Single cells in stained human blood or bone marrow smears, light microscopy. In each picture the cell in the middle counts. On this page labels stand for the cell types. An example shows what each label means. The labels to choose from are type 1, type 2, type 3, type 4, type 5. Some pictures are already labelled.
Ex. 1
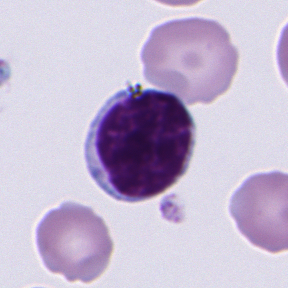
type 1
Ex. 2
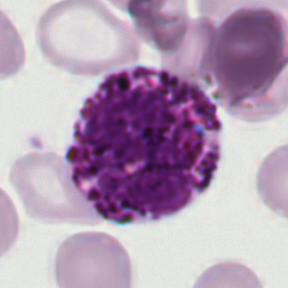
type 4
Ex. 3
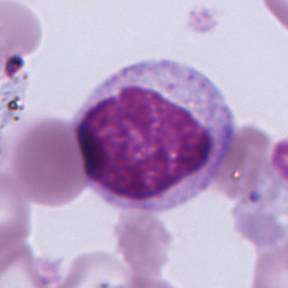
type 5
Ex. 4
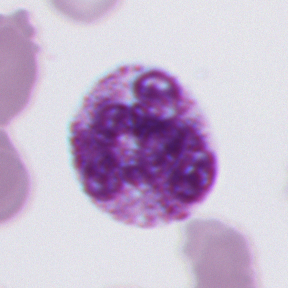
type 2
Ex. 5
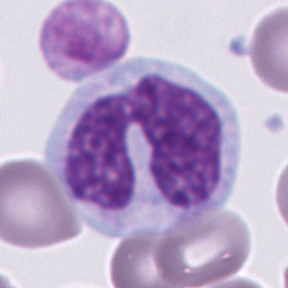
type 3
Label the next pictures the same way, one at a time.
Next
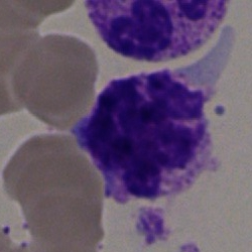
type 4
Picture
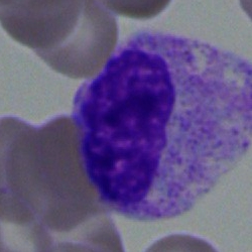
type 5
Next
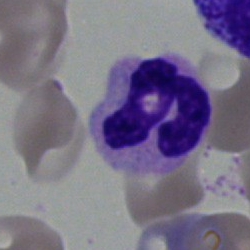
type 2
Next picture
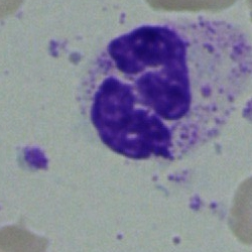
type 4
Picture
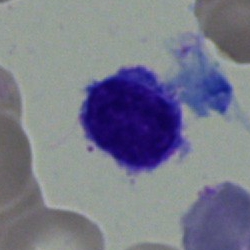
type 1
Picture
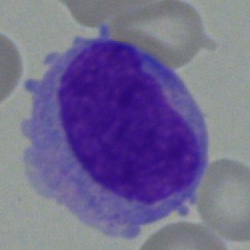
type 3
